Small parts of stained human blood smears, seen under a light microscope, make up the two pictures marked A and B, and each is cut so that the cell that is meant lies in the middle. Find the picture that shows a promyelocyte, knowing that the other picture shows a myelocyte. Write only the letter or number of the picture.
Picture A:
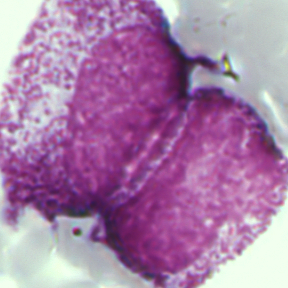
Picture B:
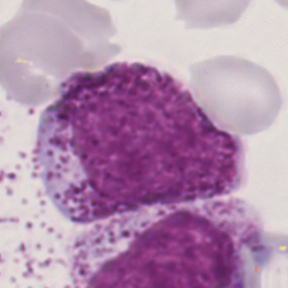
B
